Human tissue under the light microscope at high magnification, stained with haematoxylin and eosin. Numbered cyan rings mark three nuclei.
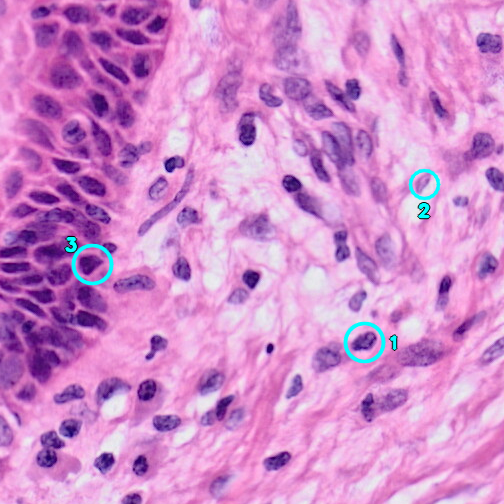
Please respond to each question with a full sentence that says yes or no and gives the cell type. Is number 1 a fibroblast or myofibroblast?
No, cell 1 is not a fibroblast or myofibroblast; a lymphocyte is the correct identification.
